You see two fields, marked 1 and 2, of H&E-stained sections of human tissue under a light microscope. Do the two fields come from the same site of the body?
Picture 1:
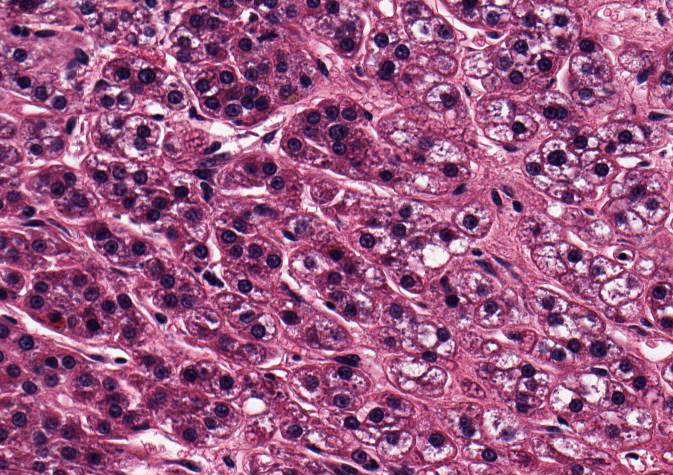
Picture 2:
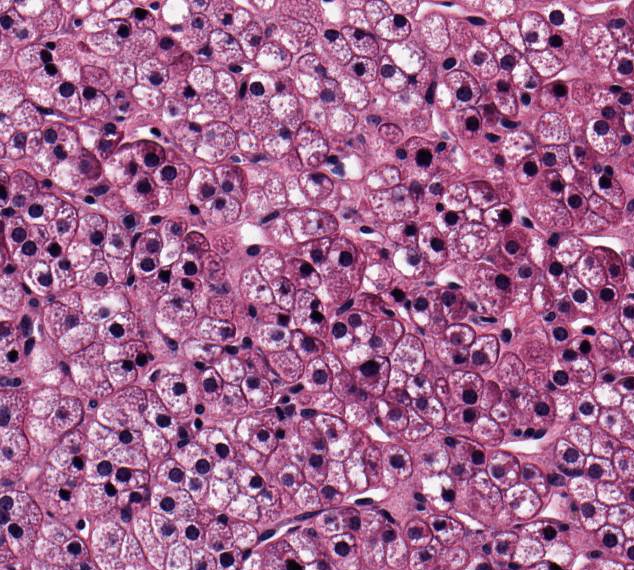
yes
